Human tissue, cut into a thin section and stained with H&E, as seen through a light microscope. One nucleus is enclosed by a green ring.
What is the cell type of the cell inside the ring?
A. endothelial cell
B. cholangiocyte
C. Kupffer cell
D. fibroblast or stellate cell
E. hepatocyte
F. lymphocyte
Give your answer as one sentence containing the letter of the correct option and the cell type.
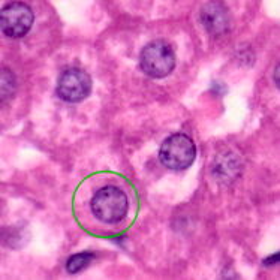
Option E is the one to take: the cell inside the ring is a hepatocyte.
